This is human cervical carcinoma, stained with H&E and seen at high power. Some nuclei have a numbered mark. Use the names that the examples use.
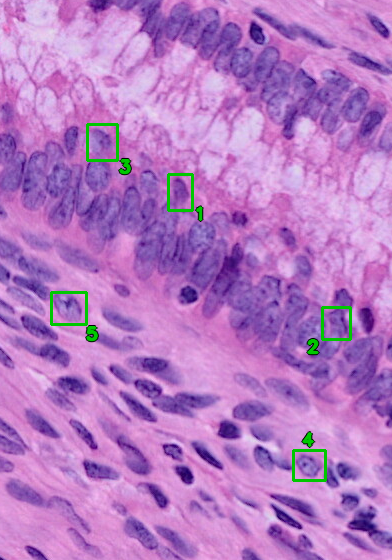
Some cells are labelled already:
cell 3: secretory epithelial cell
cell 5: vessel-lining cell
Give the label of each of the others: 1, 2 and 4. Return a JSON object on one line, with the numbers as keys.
{"1": "secretory epithelial cell", "2": "secretory epithelial cell", "4": "vessel-lining cell"}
